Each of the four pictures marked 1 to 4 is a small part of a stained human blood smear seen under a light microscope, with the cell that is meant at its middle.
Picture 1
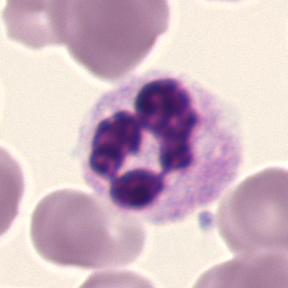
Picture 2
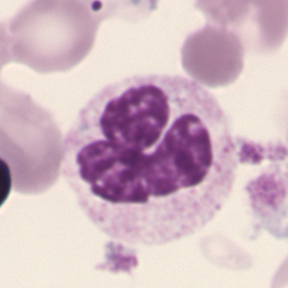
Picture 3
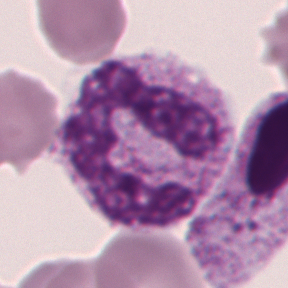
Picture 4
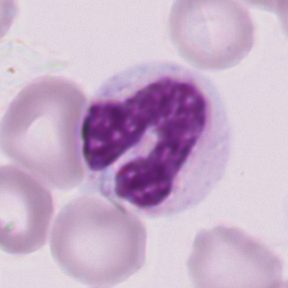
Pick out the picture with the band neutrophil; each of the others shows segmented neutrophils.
4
